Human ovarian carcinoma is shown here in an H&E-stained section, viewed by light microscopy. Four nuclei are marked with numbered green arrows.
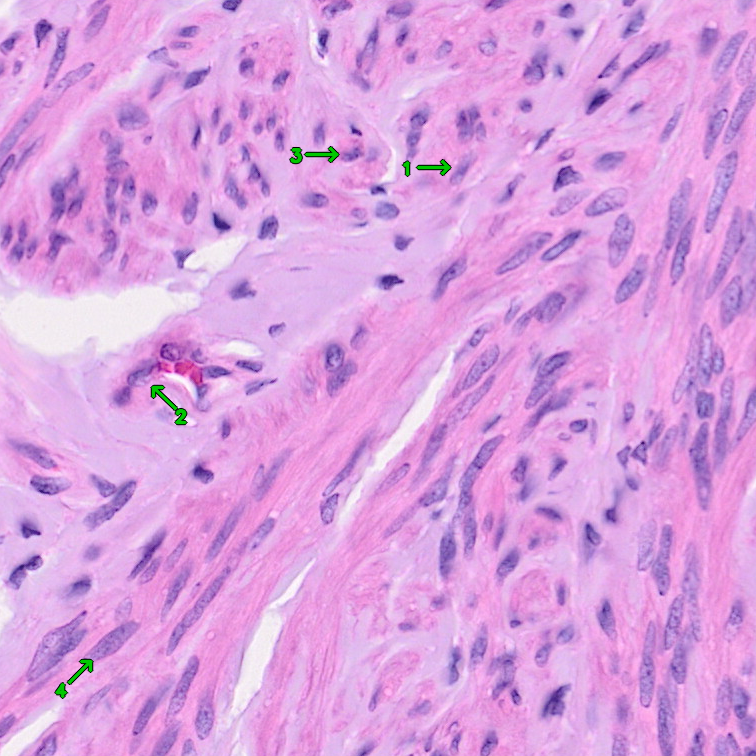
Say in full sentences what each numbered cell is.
Cells 1, 3 and 4 are smooth muscle cells. Cell 2 is an endothelial cell.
